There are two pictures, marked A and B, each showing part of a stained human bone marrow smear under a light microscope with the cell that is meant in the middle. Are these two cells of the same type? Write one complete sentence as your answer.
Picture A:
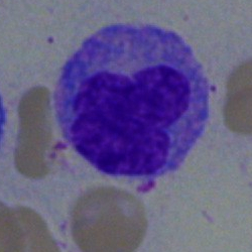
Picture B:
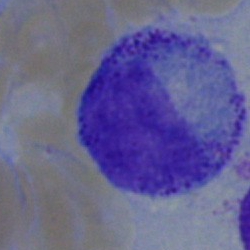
No; the cell in picture A is a monocyte, while the one in picture B is a myelocyte.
